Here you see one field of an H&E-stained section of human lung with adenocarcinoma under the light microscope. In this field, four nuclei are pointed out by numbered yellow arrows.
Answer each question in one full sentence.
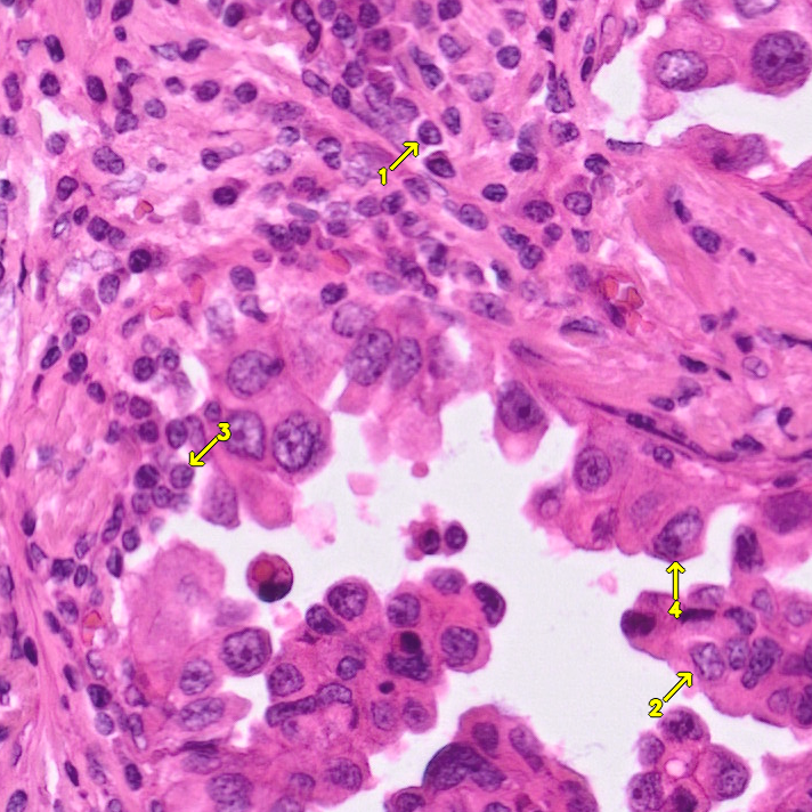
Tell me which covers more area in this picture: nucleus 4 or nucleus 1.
Nucleus 4 covers more area, about 3 times as much as nucleus 1.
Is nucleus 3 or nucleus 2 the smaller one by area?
The smaller nucleus is 3, and 2 covers roughly 1.5 times its area.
